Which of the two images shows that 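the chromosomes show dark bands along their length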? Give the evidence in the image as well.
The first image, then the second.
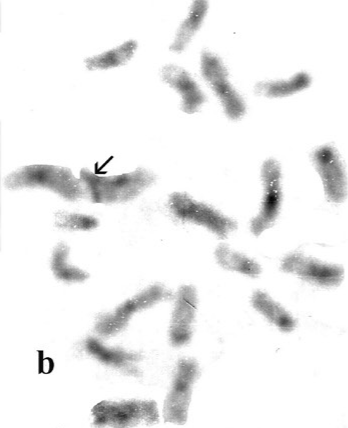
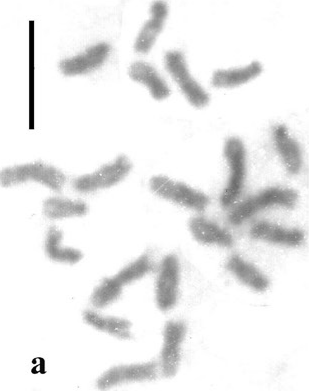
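First image: chromosomes carry distinctly darker segments against paler regions. Second image: chromosomes are stained fairly evenly grey along their length. On this evidence: the first image.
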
